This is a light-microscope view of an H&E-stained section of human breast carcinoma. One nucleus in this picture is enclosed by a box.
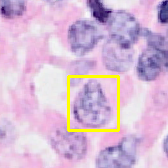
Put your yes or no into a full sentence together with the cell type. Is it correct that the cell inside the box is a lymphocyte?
No, the cell inside the box is described as a carcinoma cell and not as a lymphocyte.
